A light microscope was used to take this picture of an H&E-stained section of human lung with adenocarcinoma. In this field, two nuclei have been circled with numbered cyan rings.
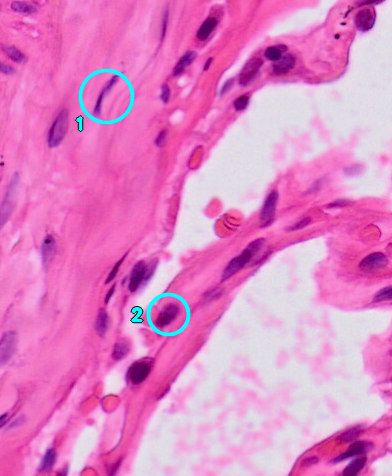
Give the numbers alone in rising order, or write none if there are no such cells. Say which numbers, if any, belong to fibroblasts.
1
